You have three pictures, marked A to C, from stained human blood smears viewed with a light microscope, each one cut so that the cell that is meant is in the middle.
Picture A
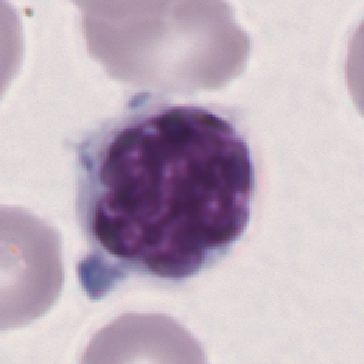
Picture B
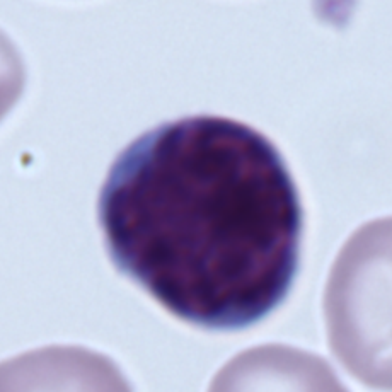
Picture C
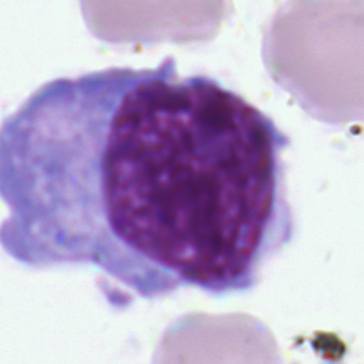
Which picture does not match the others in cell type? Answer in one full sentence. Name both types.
Unlike the rest, which show plasma cells, picture B shows a typical lymphocyte.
